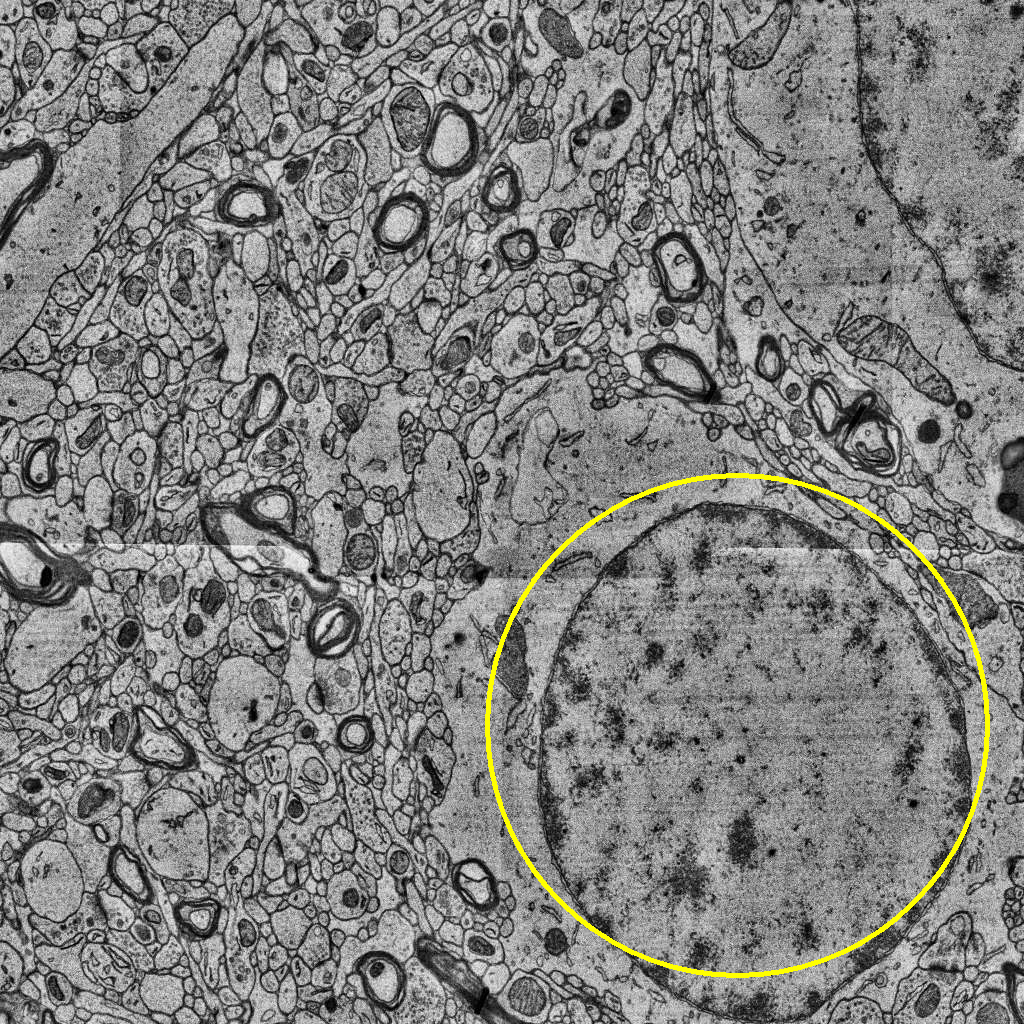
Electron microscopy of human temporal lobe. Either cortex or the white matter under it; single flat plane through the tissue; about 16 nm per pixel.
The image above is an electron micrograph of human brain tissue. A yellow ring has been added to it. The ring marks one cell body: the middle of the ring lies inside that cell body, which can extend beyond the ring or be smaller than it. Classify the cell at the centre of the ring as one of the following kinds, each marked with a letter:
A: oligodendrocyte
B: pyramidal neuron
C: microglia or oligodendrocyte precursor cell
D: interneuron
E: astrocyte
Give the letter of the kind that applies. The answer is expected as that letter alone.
E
